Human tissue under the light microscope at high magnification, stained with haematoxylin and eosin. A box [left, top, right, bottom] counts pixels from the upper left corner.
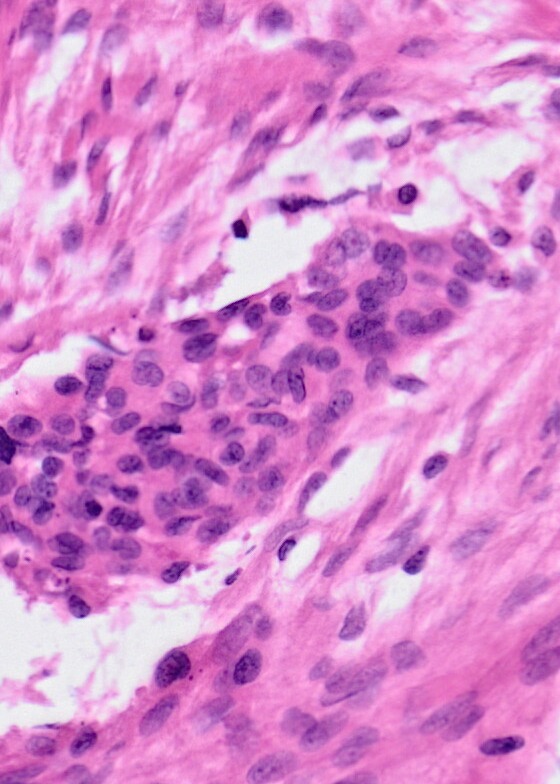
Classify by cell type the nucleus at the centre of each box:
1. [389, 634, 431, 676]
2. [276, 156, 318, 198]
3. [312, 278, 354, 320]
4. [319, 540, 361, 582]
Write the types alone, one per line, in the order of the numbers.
fibroblast
fibroblast
carcinoma cell
fibroblast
